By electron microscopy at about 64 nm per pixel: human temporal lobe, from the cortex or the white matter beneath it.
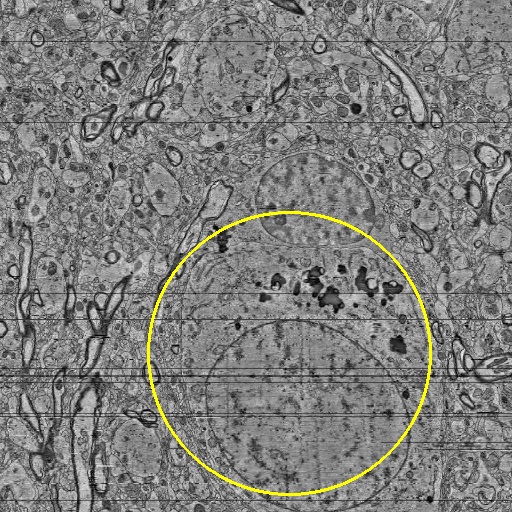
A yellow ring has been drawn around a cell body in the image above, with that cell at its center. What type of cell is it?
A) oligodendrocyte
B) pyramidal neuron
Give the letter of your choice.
B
